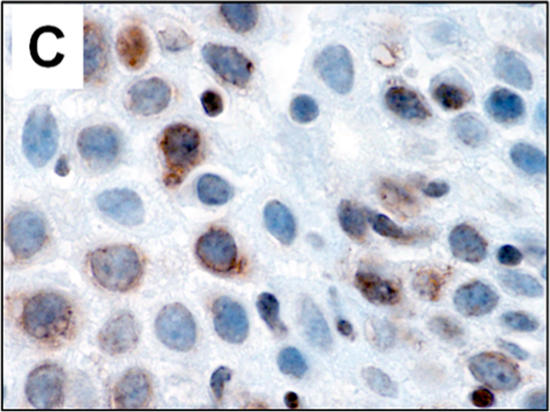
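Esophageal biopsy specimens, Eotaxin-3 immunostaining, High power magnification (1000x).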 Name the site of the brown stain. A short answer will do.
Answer: Perinuclear.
